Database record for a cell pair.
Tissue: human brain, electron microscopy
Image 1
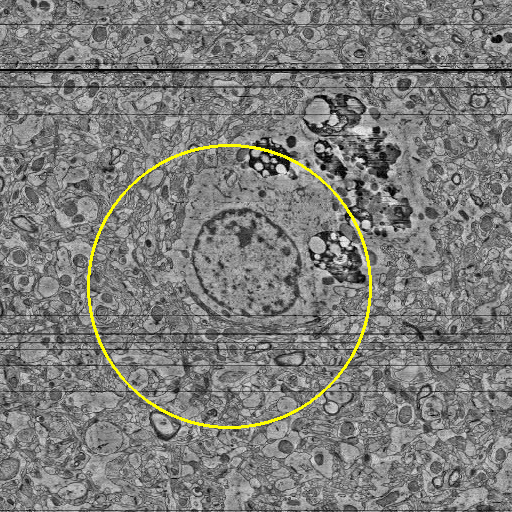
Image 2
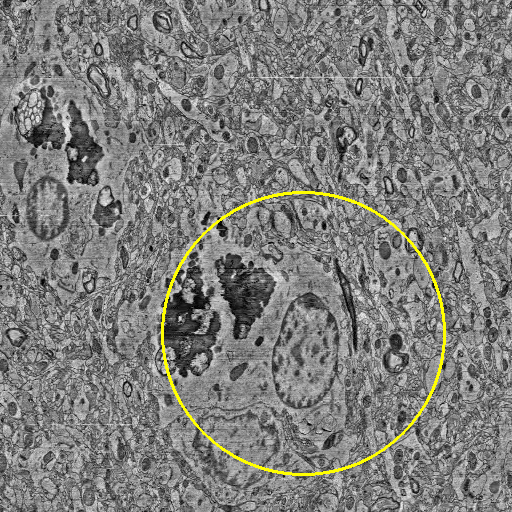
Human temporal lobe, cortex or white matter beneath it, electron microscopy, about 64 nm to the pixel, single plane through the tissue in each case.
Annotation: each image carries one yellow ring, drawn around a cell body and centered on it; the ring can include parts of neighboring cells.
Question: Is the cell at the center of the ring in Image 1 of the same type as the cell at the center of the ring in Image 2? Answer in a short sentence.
Yes, the cells are of the same type.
